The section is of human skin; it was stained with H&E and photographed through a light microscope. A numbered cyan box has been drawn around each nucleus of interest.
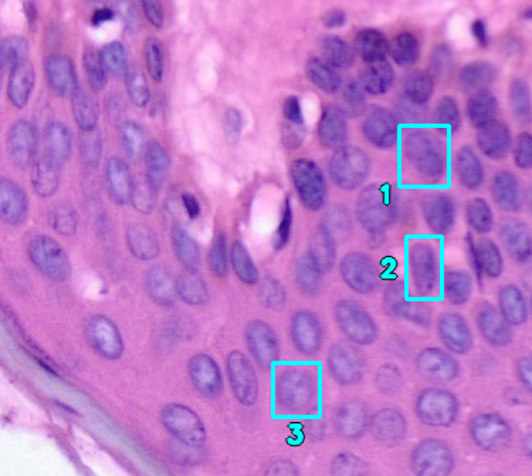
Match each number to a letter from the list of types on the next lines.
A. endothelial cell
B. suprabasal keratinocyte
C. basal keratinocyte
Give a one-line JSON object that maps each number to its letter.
{"1": "B", "2": "C", "3": "B"}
